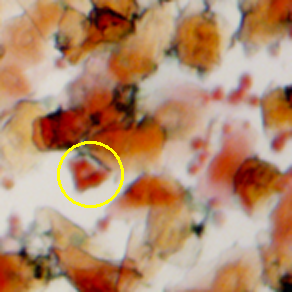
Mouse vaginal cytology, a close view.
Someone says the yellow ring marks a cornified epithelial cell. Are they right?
They are right: it is a cornified epithelial cell.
